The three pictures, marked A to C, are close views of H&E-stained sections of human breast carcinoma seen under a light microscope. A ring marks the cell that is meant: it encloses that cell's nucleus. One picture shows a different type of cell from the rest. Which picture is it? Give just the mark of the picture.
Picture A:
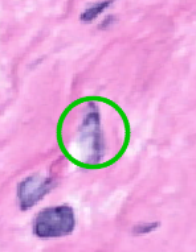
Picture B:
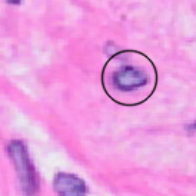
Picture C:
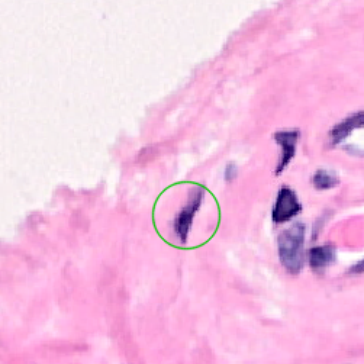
C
